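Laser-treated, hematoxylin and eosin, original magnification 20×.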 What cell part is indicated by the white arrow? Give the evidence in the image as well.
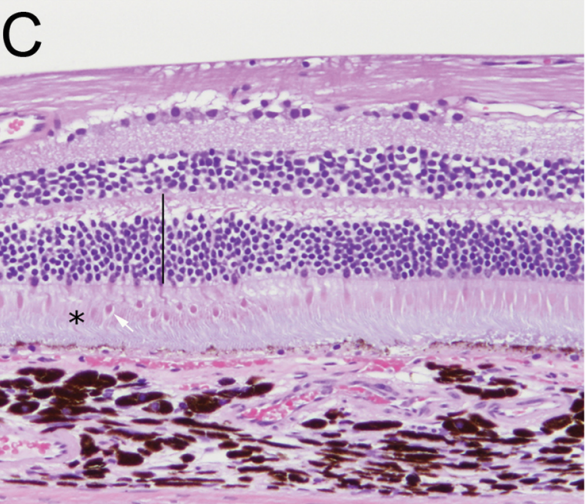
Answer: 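The arrow points to small darker pink condensed profiles in the pale striated band just below the nuclear layer.
Answer: cone inner segments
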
